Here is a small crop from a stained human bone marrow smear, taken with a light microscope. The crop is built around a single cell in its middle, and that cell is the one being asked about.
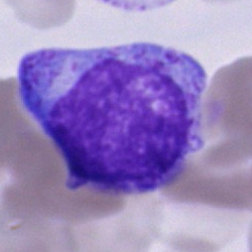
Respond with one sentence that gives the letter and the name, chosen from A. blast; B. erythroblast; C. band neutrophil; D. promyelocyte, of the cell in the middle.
The central cell, a promyelocyte, is correctly identified by option D.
